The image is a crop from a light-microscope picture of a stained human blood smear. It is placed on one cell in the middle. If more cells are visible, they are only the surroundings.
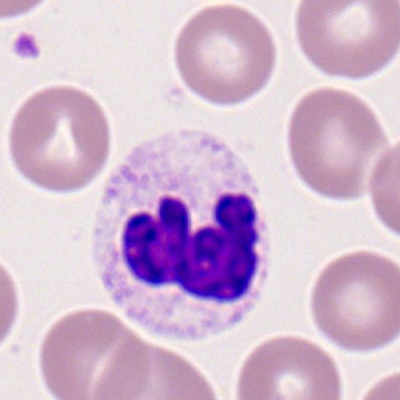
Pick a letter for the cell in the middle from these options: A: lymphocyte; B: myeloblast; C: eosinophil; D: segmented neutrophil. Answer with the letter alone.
D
